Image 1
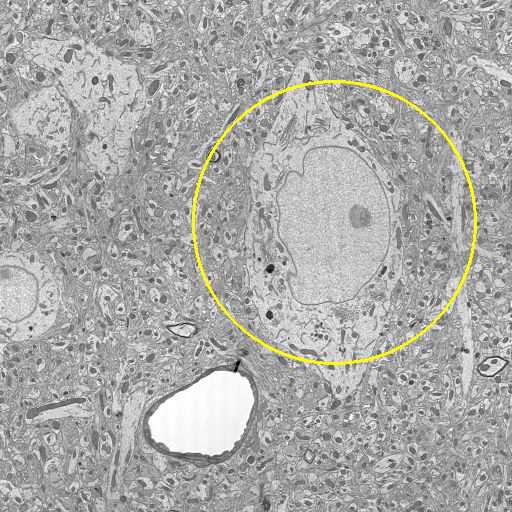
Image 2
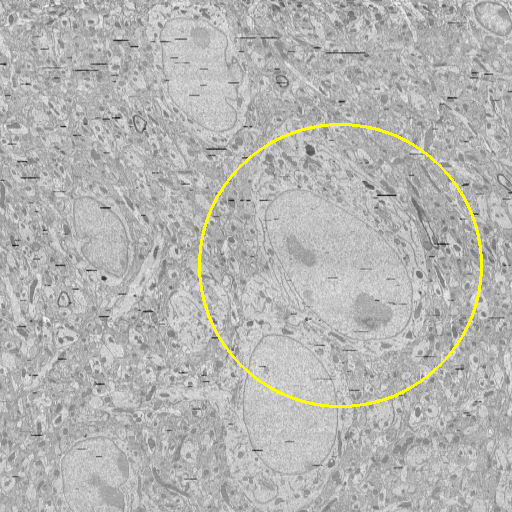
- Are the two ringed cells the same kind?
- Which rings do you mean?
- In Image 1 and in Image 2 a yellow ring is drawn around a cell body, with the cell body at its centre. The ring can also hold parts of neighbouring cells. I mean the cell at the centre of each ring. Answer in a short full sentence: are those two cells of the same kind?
Yes, both cells are of the same kind.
